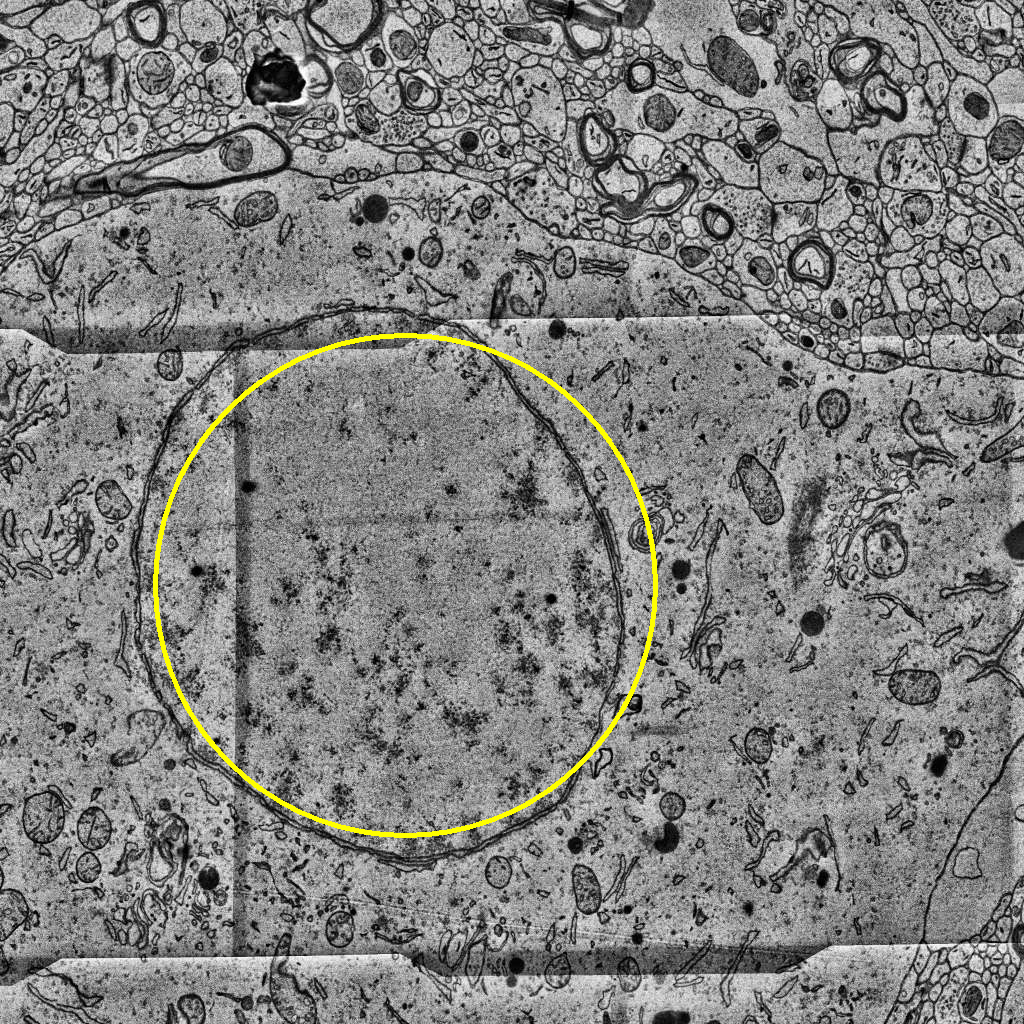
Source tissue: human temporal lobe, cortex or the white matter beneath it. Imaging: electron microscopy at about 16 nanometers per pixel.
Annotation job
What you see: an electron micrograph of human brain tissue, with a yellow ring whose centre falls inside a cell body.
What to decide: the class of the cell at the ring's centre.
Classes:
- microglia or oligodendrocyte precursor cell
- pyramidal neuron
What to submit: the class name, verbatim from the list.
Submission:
pyramidal neuron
